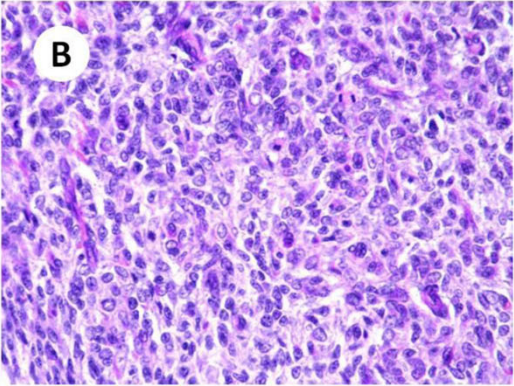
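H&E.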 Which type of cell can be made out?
epithelioid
